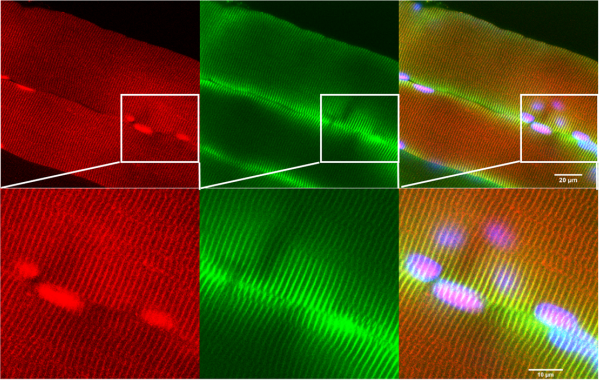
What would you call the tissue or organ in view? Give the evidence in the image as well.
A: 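Long parallel cylindrical fibres. Cross-striation along their length. Elongated nuclei lying at the fibre edge.
Muscle fibres.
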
